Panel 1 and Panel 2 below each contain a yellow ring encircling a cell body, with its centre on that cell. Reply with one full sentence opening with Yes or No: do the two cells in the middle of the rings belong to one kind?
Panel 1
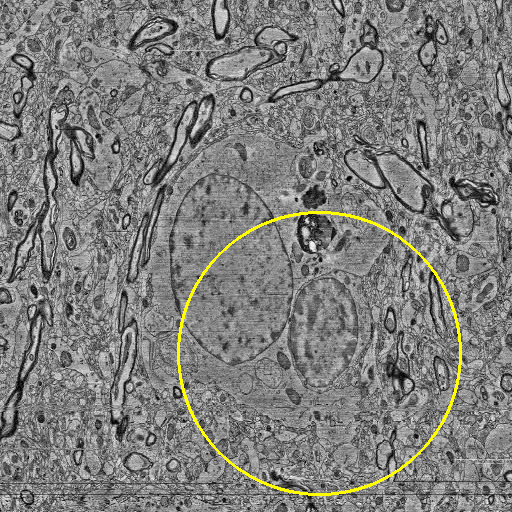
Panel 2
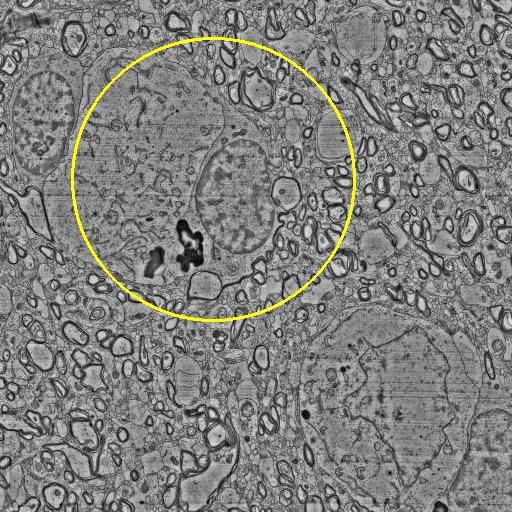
Yes, the cells at the middle of the Panel 1 ring and the Panel 2 ring are of one kind.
